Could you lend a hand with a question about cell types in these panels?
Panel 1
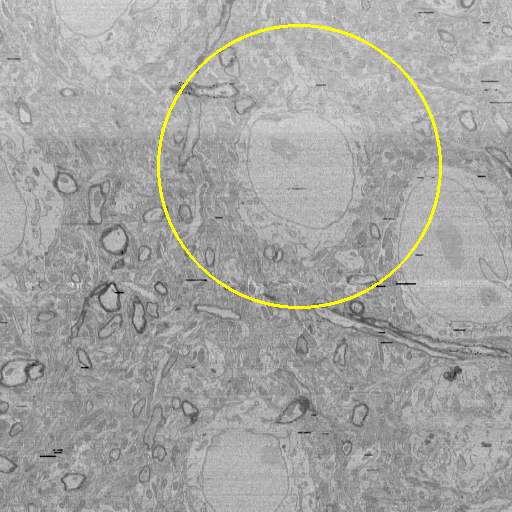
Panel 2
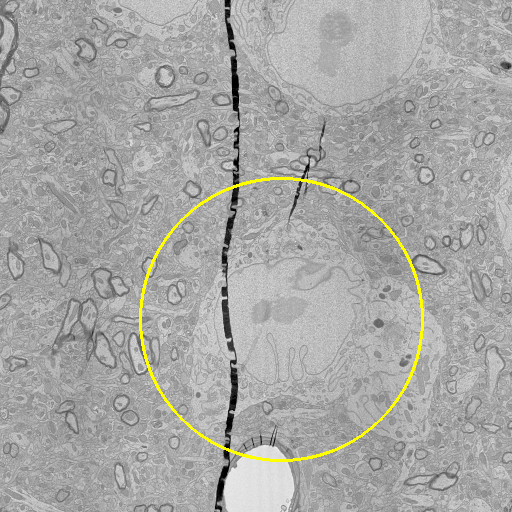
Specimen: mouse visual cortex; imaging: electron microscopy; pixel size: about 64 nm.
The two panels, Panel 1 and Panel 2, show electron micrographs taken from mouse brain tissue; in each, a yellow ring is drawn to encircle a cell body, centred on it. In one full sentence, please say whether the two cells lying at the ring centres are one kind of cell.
No, the cells at the ring centres in the two panels are two kinds of cell.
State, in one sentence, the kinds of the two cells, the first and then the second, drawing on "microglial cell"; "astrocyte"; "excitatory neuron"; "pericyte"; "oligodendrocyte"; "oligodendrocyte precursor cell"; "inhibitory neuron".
The ring in the second picture is centred on an inhibitory neuron, the ring in the first on an excitatory neuron.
